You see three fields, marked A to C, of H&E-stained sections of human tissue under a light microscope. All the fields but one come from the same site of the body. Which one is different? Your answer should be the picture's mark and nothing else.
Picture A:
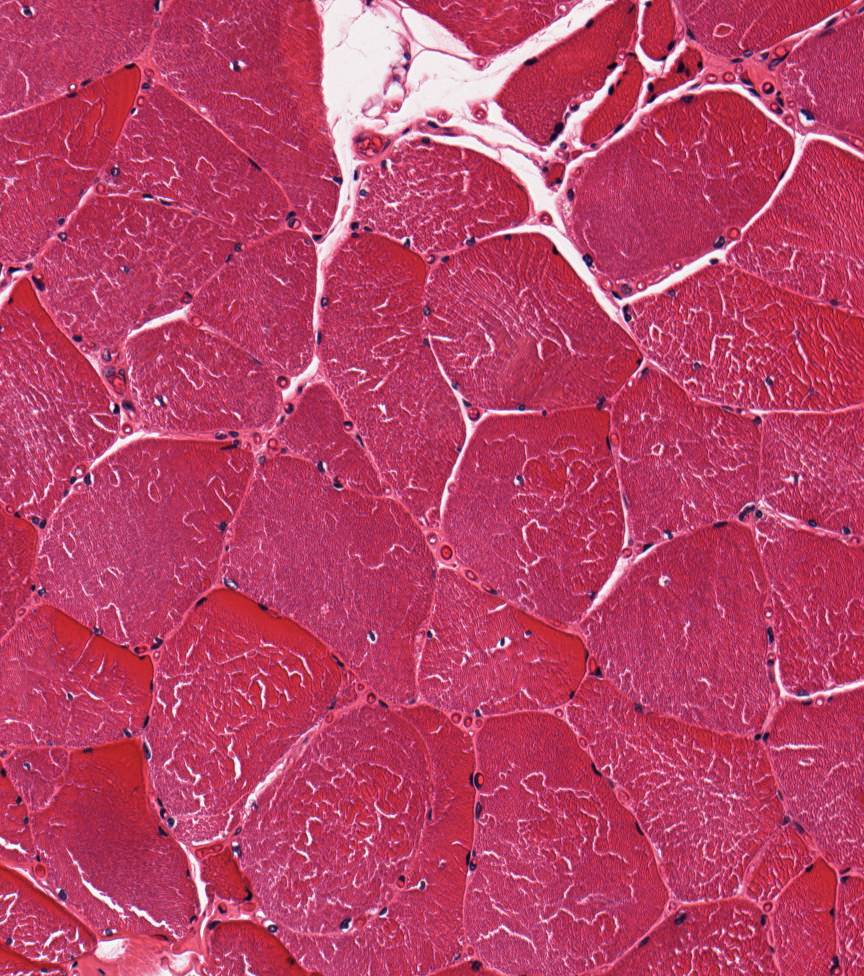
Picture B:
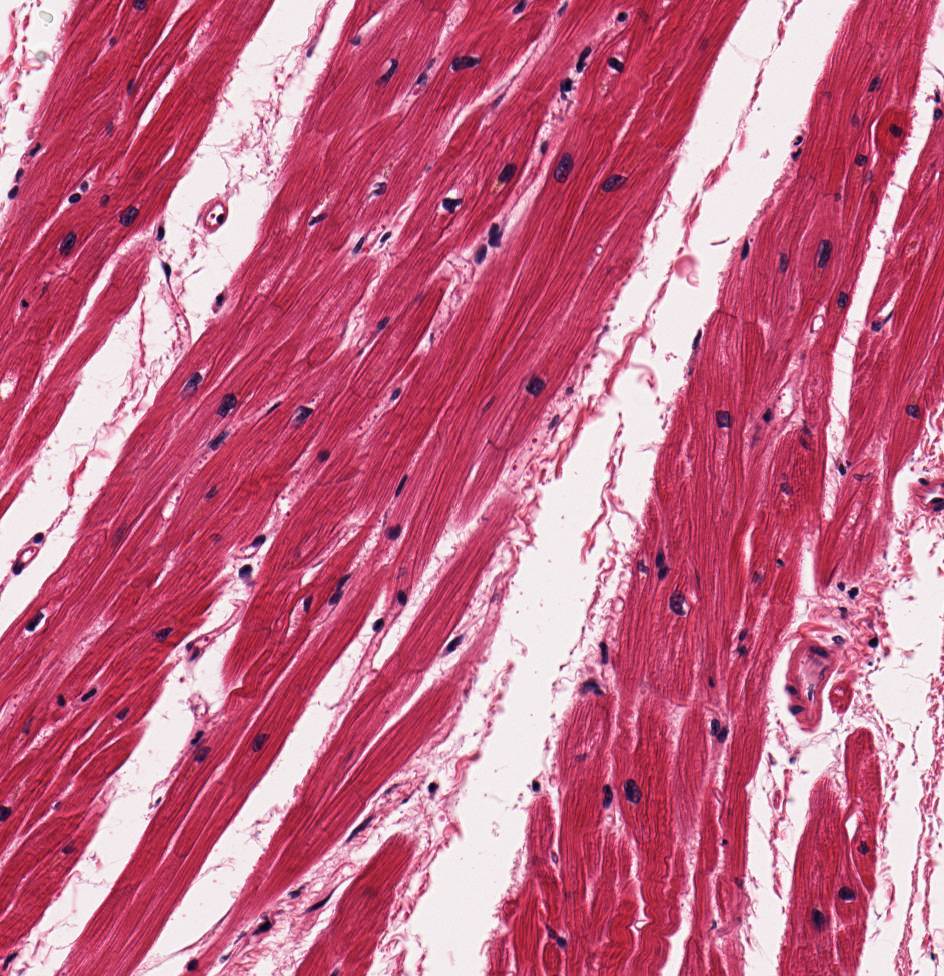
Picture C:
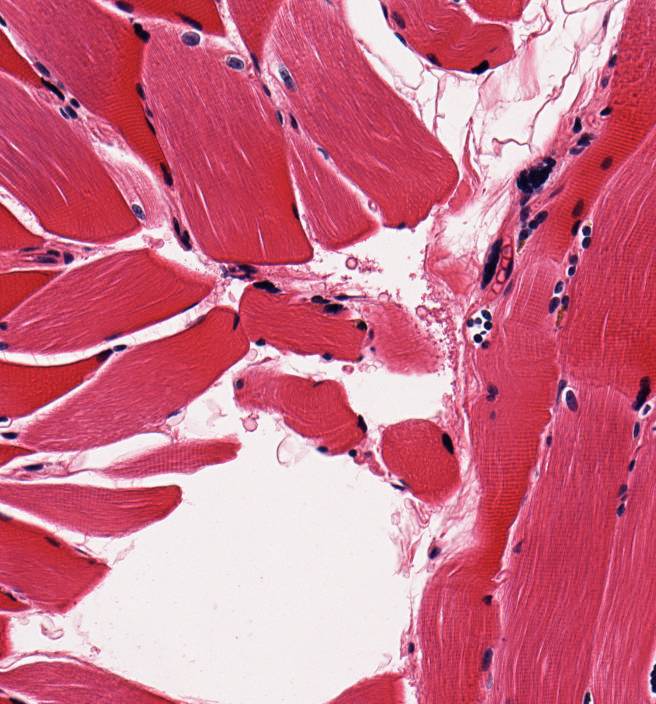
B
